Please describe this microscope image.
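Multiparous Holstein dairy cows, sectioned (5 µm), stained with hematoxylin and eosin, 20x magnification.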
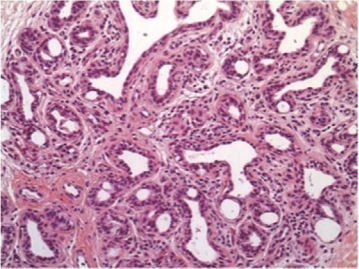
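Here the mammary gland is seen as a dense field of alveoli, round to irregular white lumens each ringed by a single row of epithelial cells with purple nuclei. Thin pink strands of connective tissue with scattered nuclei lie between neighbouring alveoli, and a few larger branched lumens stand among the smaller ones.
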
